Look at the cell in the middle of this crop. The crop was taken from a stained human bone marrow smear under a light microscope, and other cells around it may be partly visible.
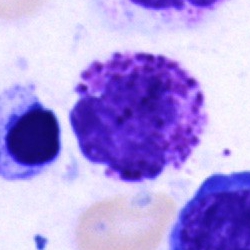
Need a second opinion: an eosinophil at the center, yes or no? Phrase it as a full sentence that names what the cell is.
No, what occupies the middle of the crop is a basophil and not an eosinophil.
